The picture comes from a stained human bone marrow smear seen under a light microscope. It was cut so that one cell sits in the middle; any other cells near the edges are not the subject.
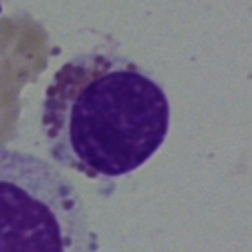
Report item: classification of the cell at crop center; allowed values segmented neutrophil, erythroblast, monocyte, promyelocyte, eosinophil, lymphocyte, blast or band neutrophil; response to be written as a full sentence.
The cell in the middle of this crop is an eosinophil.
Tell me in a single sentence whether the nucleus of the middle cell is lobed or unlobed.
In this cell the nucleus is a solitary compact mass, round, oval or kidney-shaped.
